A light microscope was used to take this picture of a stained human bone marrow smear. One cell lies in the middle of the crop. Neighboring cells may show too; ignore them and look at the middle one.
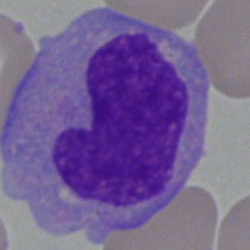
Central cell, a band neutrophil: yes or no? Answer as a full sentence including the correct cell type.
No, the cell found centrally in the crop is a monocyte, not a band neutrophil.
